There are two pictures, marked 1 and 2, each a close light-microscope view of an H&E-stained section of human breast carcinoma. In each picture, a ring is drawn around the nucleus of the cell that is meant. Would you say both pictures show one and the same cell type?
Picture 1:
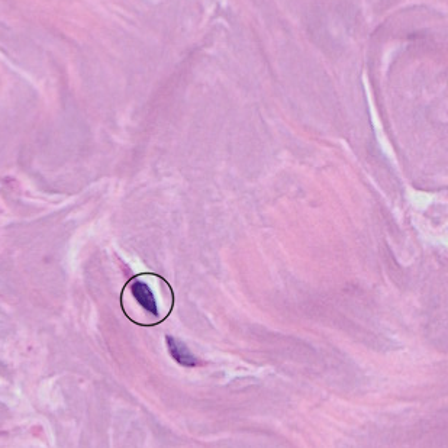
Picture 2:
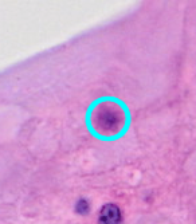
no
